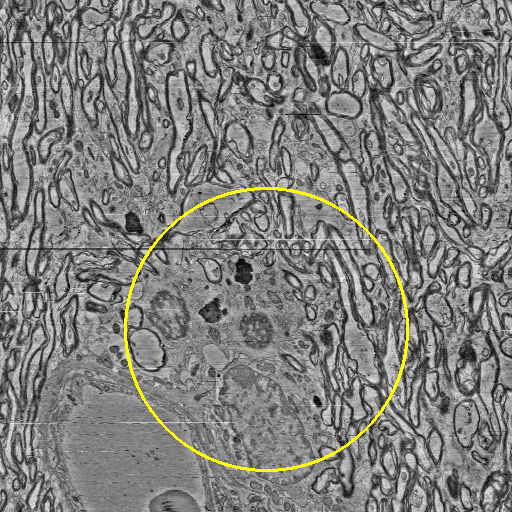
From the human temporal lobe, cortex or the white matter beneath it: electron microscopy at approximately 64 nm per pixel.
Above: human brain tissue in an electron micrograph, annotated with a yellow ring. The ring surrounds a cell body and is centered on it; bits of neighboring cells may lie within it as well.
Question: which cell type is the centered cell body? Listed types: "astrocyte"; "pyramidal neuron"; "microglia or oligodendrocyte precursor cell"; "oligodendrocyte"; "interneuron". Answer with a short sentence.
The centered cell body is an oligodendrocyte.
